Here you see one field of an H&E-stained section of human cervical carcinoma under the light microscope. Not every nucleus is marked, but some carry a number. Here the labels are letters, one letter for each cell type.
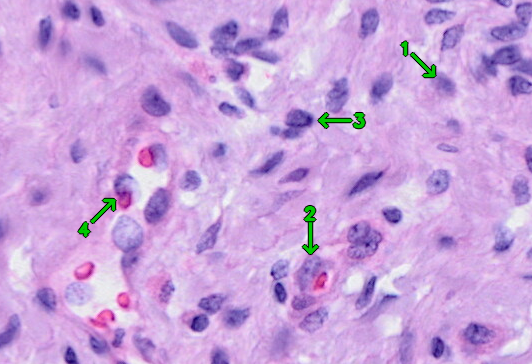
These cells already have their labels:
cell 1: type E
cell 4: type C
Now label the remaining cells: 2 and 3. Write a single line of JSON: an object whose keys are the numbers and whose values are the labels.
{"2": "type C", "3": "type E"}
